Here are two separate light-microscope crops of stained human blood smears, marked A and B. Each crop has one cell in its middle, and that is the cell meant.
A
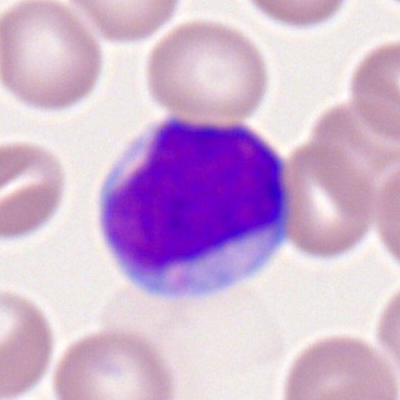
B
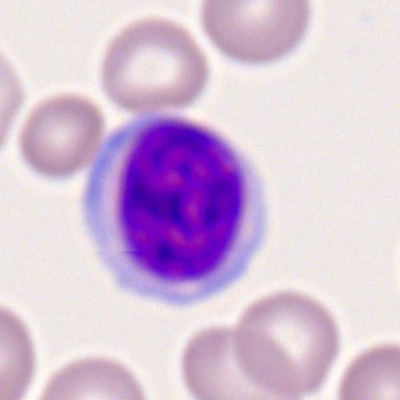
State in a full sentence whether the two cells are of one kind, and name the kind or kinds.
No, the cell at the middle of crop A is a blast, while crop B centres on a lymphocyte.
